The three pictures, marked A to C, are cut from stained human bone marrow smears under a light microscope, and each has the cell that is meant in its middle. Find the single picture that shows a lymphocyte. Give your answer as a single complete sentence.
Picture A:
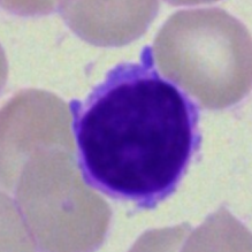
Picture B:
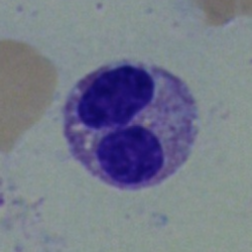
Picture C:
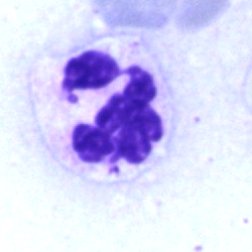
It is picture A that shows the lymphocyte.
